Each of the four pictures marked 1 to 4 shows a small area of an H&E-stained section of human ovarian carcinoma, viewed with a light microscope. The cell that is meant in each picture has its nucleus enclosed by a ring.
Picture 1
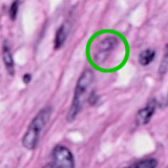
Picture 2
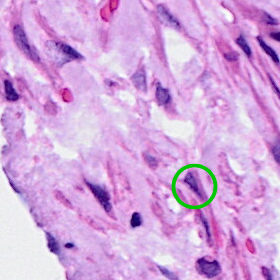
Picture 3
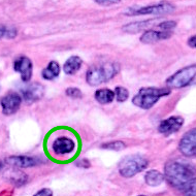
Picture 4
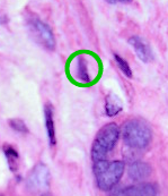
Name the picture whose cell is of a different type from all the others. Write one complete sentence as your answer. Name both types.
The different one is picture 3; it shows a lymphocyte, whereas all the others show fibroblasts.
